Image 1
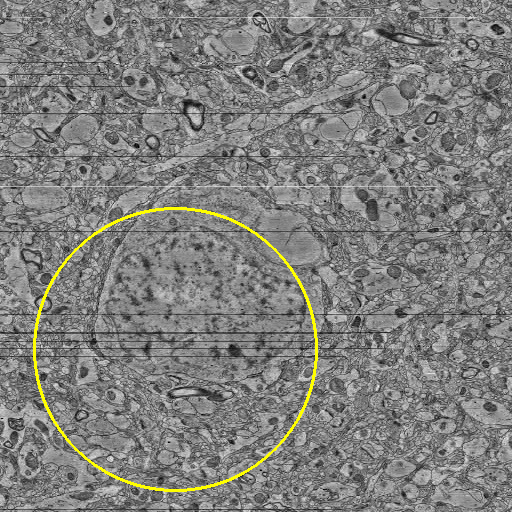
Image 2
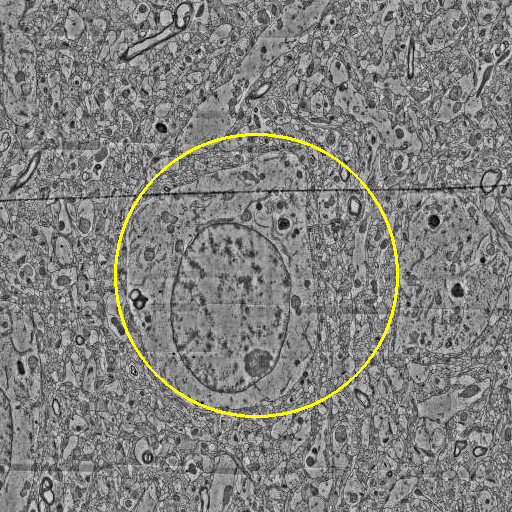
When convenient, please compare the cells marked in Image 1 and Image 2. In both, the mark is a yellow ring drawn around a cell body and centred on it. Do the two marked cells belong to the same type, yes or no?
no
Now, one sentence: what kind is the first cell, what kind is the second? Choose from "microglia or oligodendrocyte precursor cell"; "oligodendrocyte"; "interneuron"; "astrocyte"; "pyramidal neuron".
The first picture has an interneuron at its ring centre, and the second has a pyramidal neuron.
